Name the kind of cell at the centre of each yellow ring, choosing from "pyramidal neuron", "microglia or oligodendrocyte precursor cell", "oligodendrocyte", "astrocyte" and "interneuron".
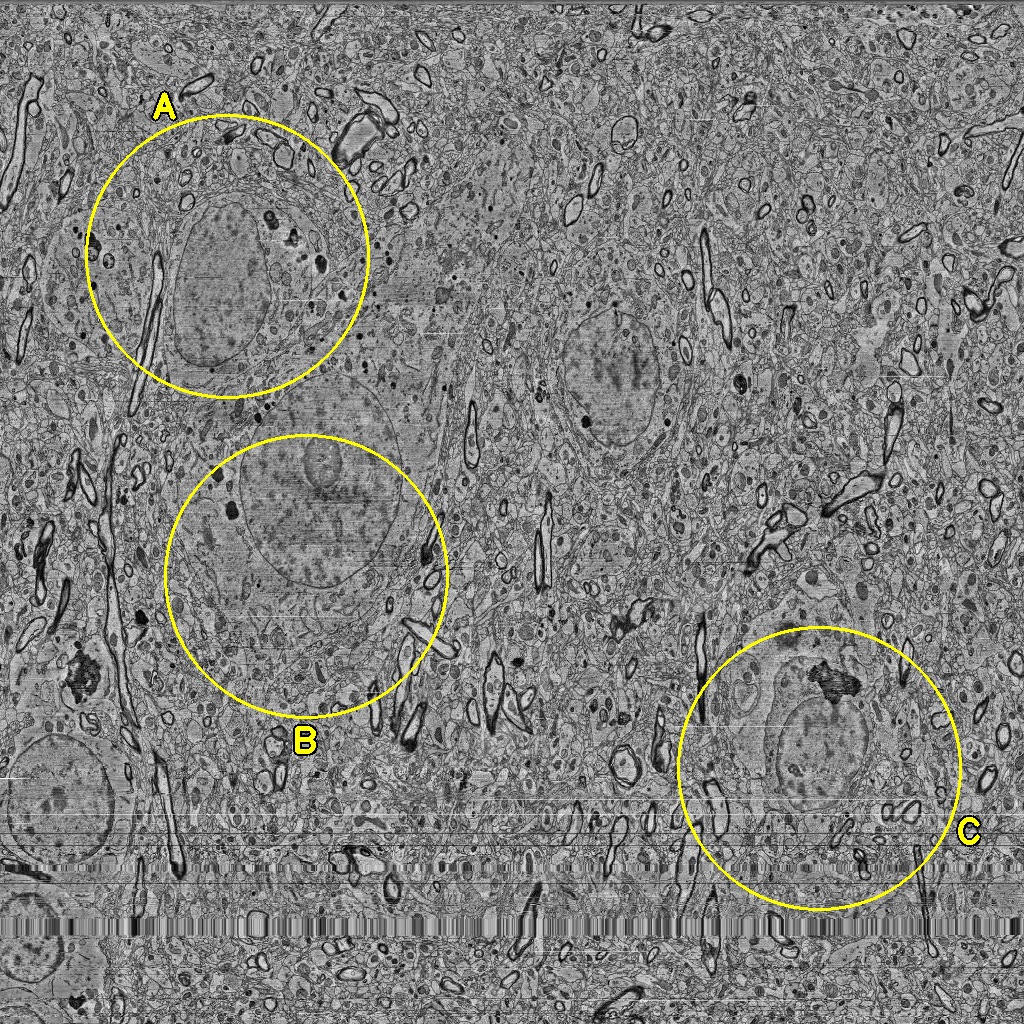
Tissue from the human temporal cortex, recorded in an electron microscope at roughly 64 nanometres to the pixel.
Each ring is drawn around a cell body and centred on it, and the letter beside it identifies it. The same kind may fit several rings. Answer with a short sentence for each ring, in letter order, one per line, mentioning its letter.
Ring A is drawn around a pyramidal neuron.
Ring B is drawn around a pyramidal neuron.
Ring C is drawn around an oligodendrocyte.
